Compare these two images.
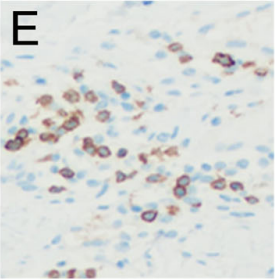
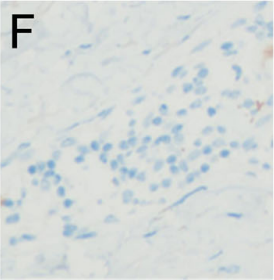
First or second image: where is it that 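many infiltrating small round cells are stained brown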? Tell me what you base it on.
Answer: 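First image: numerous small round cells with brown-stained rims clustered in the stroma. On this evidence: the first image.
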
